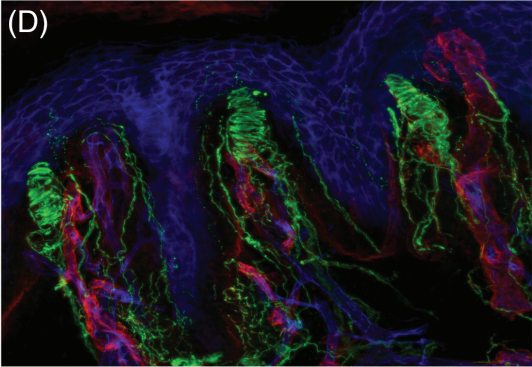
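This is glabrous skin showing a thick blue-stained epidermis of keratinocytes whose lower surface forms deep ridges interlocking with tall dermal papillae. At the tops of several papillae lie oval, densely layered green structures, the Meissner corpuscles, closely under the epidermis. Thin green nerve fibres run up the papillae alongside red-and-blue outlined capillary loops and feed into these corpuscles. Fine beaded green fibres also extend into the lower epidermis. Deeper in the dermis a meshwork of green fibres and red vessels lies between the papillae.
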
